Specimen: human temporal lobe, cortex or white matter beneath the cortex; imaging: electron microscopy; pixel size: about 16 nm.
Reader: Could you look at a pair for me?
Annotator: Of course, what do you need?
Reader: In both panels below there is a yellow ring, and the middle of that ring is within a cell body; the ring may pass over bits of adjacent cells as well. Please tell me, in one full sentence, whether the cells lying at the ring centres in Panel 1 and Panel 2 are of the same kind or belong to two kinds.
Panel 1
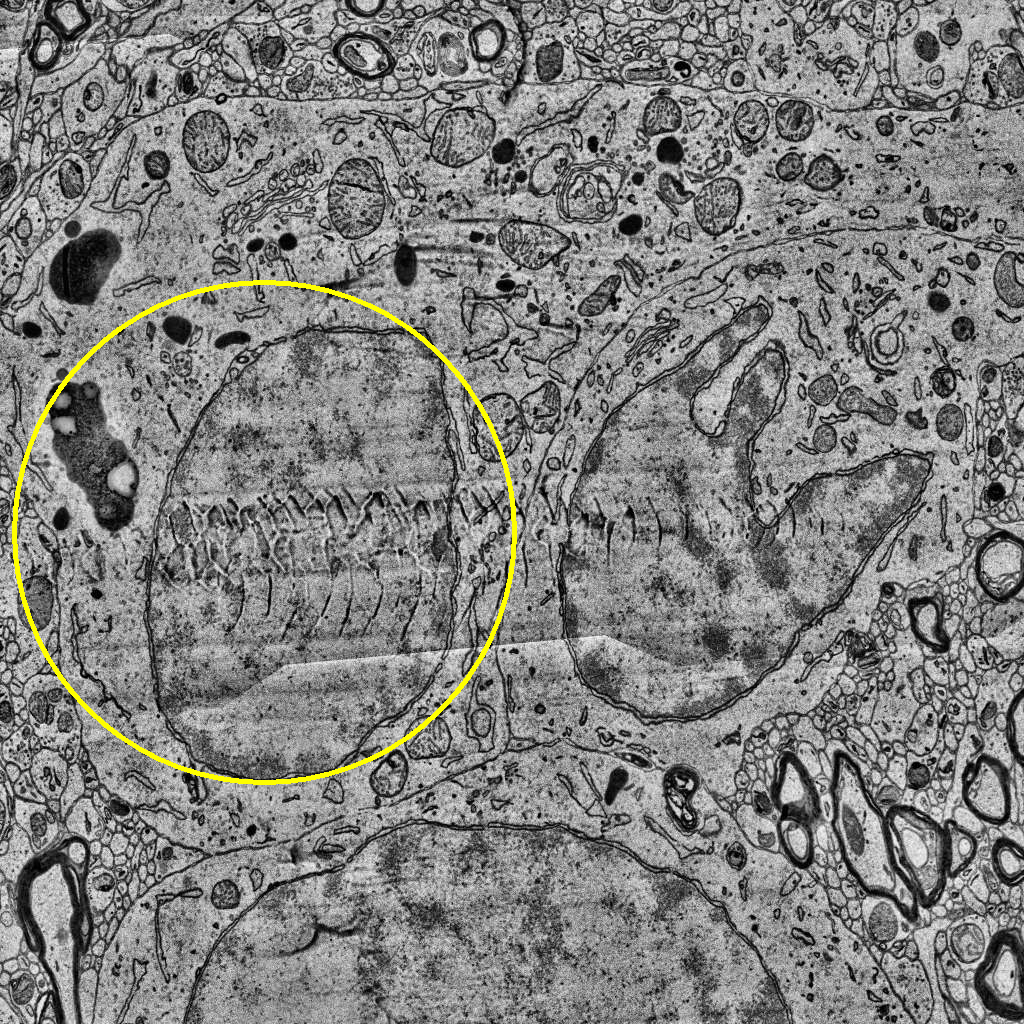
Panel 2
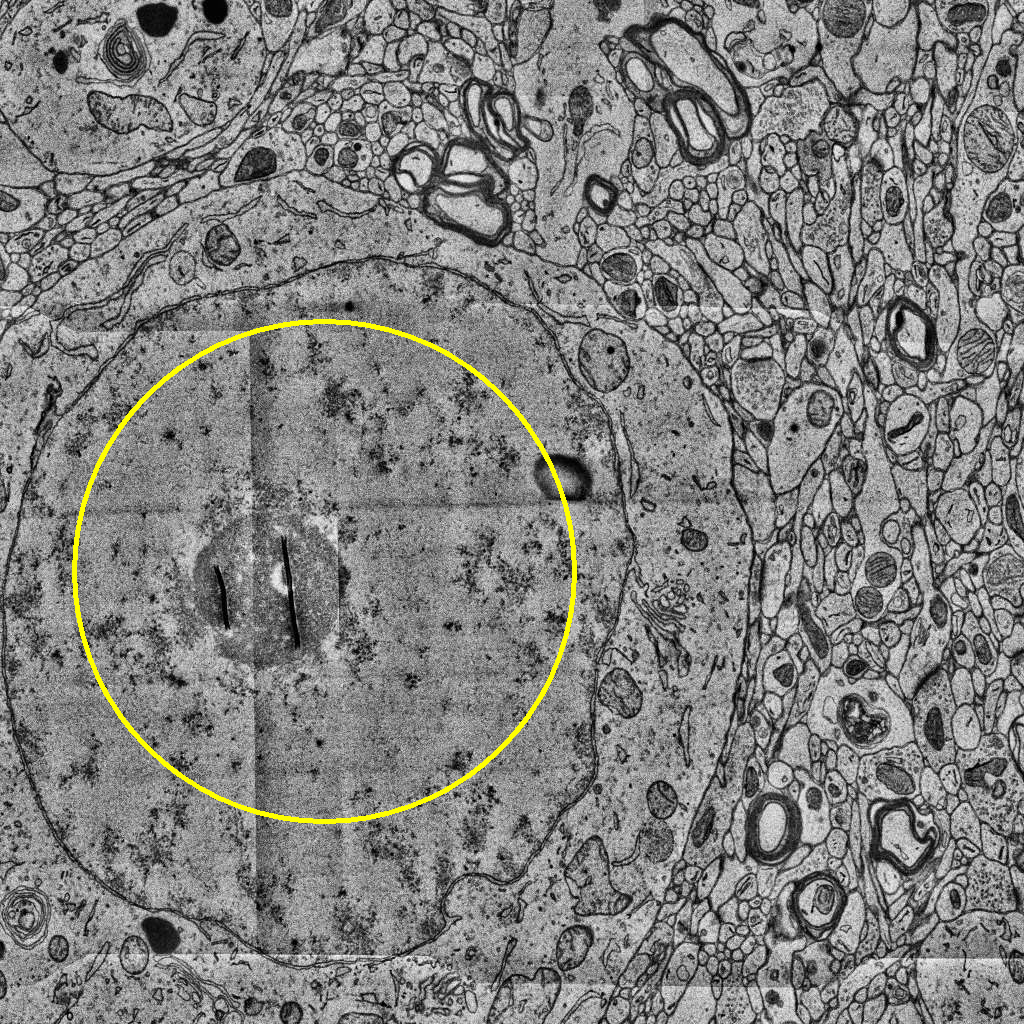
The cell at the ring's centre in Panel 1 and the one in Panel 2 are of the same kind.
